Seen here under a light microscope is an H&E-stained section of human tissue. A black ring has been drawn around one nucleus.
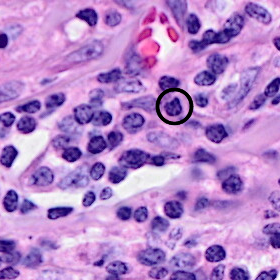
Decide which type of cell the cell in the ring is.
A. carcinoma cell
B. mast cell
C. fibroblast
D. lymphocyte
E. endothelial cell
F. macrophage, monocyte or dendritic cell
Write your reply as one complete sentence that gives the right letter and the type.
Option D is correct; the cell in the ring is a lymphocyte.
